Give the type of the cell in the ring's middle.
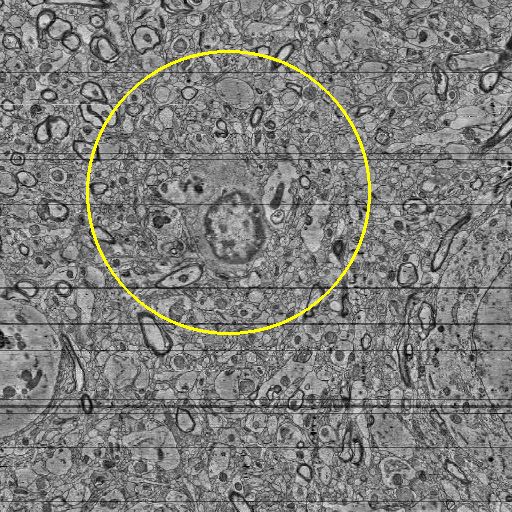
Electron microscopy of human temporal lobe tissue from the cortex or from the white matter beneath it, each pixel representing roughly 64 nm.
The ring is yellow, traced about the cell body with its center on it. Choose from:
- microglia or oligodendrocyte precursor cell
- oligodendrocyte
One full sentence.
Here, an oligodendrocyte is the cell lying at the center of the yellow ring.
